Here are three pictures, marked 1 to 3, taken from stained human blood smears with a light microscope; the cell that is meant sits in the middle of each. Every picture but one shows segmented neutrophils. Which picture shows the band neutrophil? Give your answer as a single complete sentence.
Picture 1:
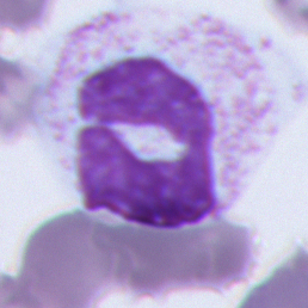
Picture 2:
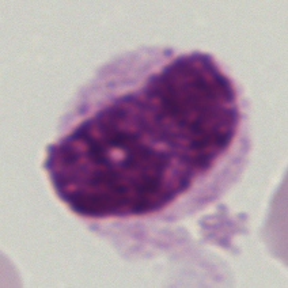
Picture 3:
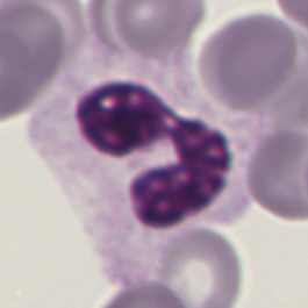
The picture with the band neutrophil is 2.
